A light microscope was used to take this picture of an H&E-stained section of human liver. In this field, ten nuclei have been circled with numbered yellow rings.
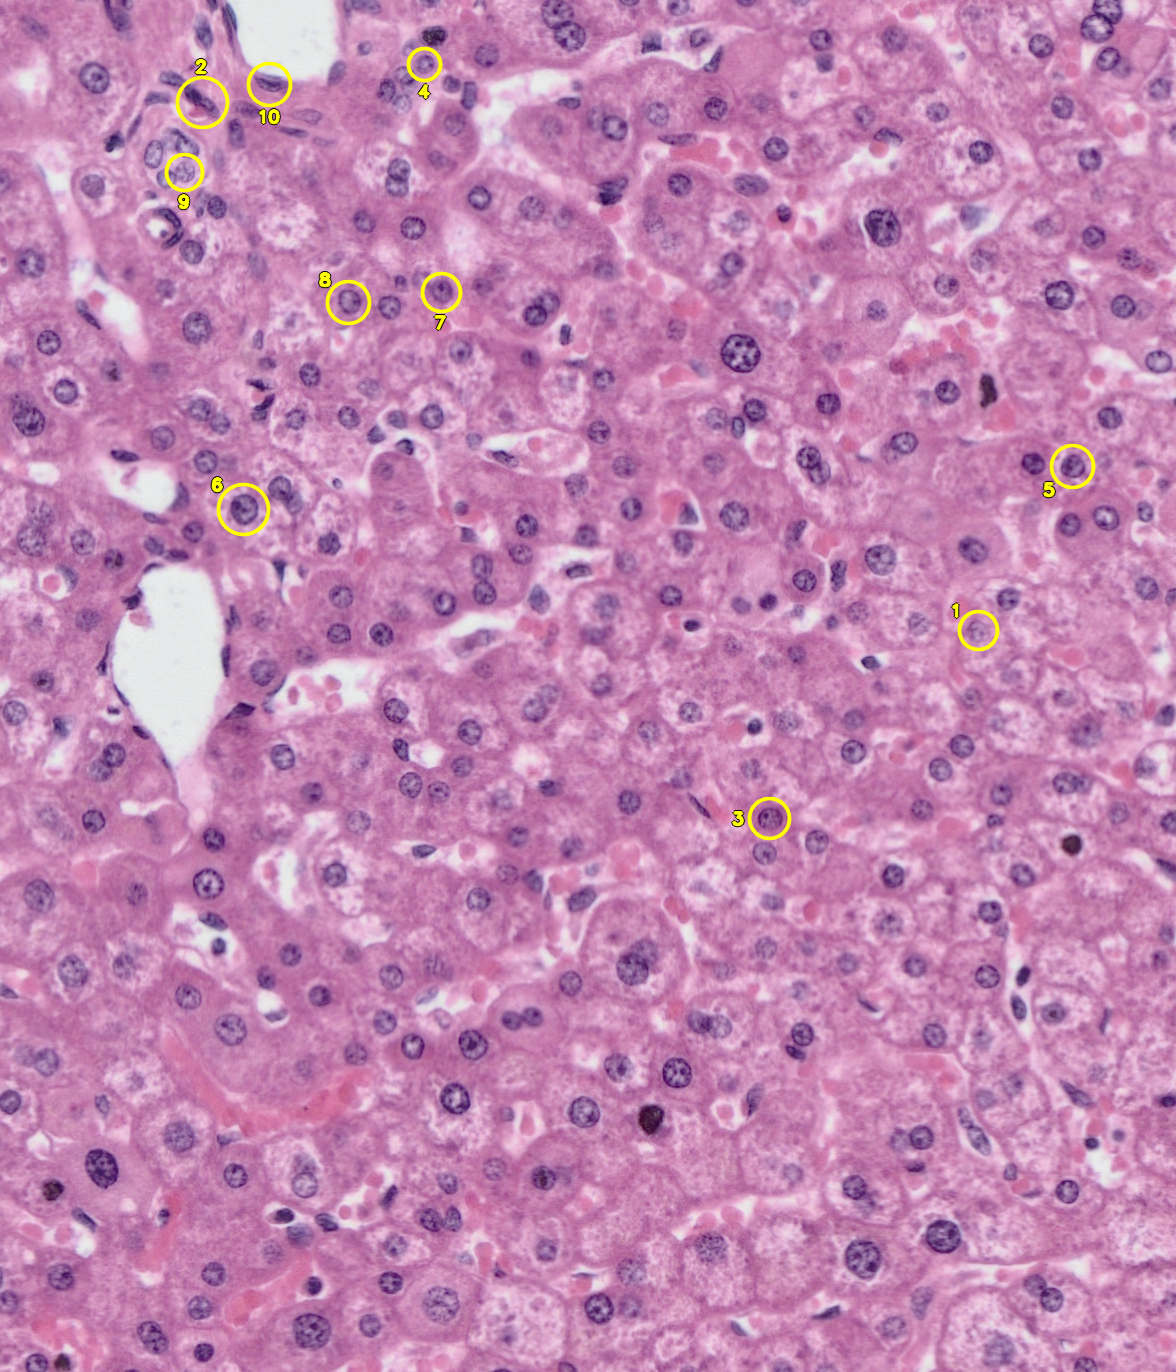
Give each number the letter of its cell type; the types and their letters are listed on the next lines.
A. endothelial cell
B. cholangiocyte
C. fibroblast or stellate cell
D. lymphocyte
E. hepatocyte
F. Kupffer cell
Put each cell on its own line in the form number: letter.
1: E
2: C
3: E
4: B
5: E
6: E
7: E
8: E
9: B
10: C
